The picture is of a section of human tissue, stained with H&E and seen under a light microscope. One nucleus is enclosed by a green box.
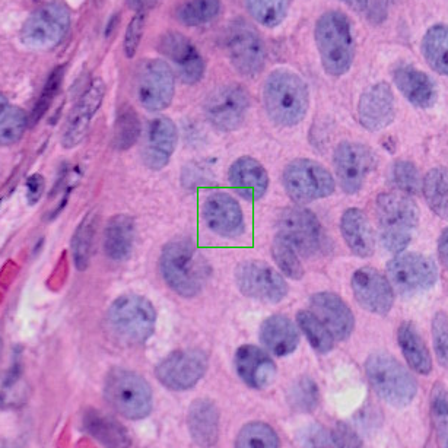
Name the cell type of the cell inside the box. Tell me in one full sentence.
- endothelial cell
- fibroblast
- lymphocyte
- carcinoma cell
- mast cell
In this tissue sample, the cell inside the box is a carcinoma cell.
